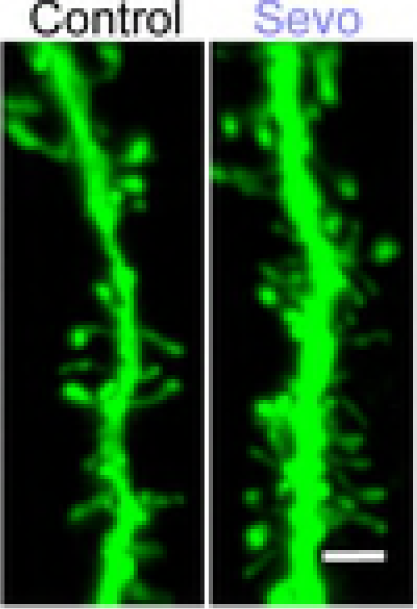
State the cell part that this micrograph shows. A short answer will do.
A: Dendritic spines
